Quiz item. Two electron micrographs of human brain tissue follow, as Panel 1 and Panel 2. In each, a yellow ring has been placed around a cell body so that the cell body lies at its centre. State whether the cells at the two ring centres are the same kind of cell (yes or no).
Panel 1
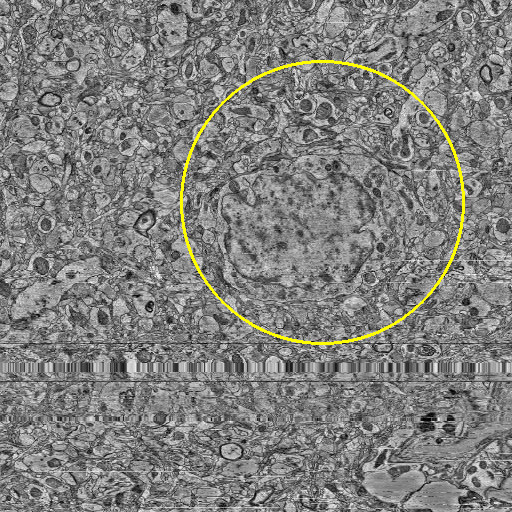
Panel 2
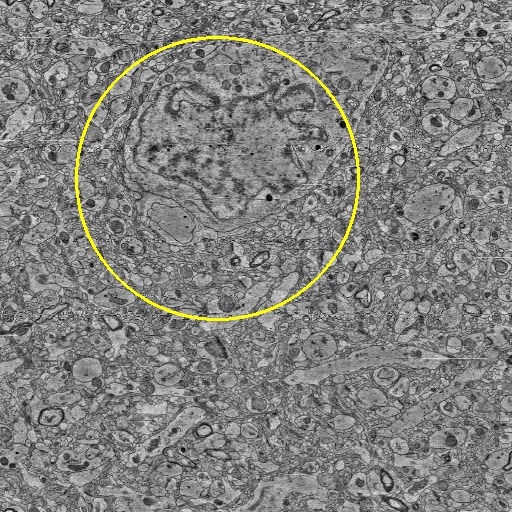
yes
